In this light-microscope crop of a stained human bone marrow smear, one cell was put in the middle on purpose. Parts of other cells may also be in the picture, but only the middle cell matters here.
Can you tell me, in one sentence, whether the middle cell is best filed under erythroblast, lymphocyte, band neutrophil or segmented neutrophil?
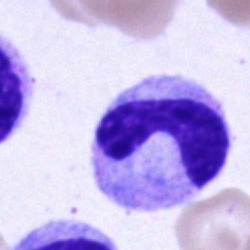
Standing at the centre of this crop is a band neutrophil.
